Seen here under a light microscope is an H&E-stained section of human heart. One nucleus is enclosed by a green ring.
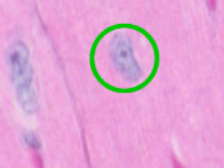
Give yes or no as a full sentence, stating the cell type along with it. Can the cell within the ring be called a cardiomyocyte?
Yes, the identity of the cell within the ring is that of a cardiomyocyte.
